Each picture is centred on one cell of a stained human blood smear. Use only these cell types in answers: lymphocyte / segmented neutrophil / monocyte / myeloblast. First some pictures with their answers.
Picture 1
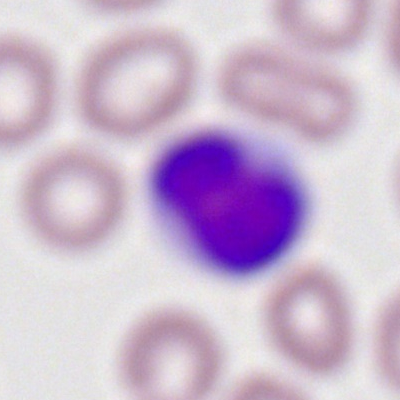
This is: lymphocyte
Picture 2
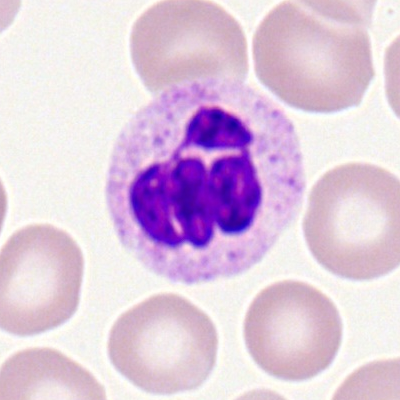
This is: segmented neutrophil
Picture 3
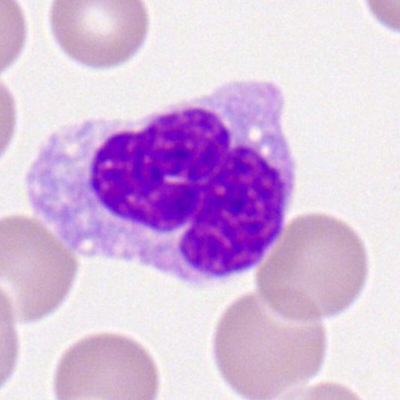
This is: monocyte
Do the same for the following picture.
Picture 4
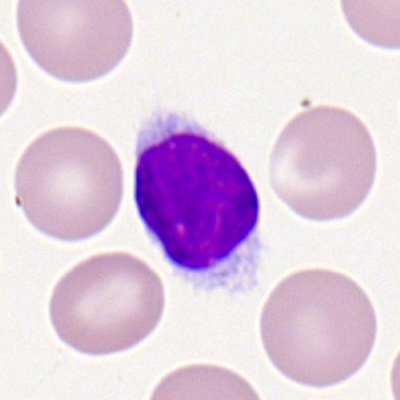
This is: lymphocyte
